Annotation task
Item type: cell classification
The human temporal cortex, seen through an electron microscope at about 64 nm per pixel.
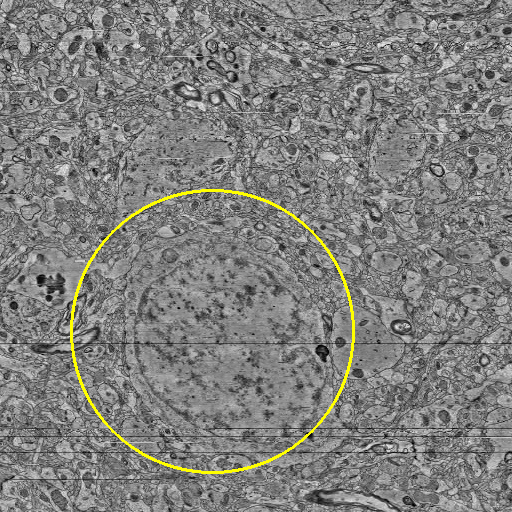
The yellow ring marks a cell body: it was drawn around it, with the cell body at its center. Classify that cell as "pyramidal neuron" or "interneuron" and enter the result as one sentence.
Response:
The ring's center falls on an interneuron.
